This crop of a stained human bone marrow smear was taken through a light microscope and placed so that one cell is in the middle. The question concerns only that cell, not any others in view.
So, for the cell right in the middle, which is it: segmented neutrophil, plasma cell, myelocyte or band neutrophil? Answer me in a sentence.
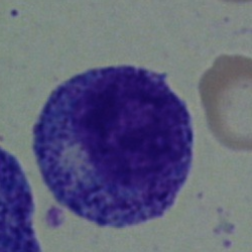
The cell sitting right in the middle is a myelocyte.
